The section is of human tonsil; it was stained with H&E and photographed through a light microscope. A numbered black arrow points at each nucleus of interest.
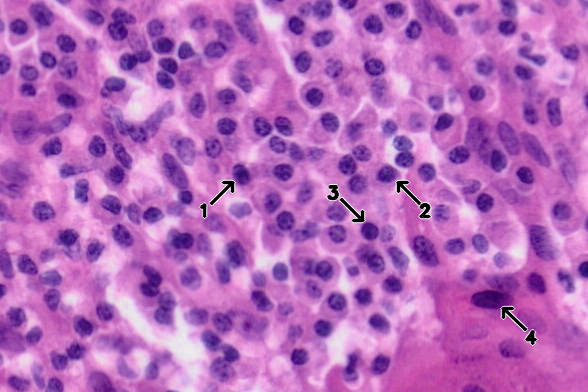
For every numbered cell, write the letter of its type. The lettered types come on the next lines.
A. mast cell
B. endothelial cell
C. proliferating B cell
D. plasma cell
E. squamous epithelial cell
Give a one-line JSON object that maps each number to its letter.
{"1": "D", "2": "D", "3": "D", "4": "E"}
